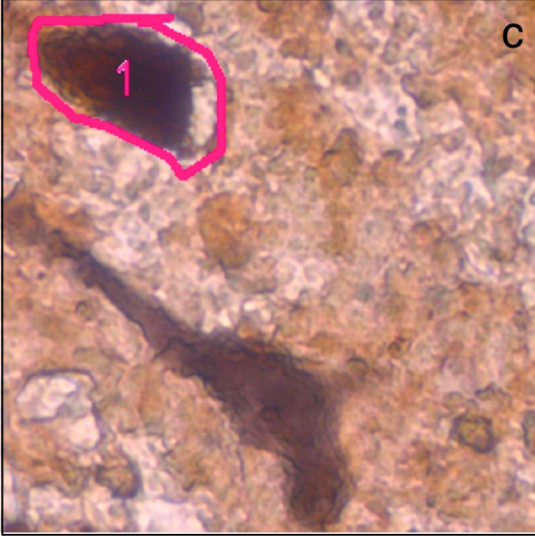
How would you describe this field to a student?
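The outlined neuron at top left is oval to angular and filled with dense dark brown-black pigment. At the bottom, a large neuron stained grey-purple has a broad cell body that tapers into a long process running toward the upper left. Around them, the neuropil holds rounded brown patches and pale spaces.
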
